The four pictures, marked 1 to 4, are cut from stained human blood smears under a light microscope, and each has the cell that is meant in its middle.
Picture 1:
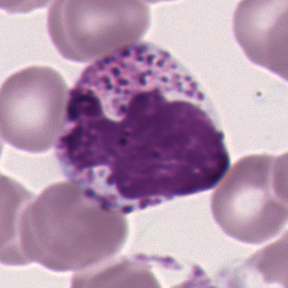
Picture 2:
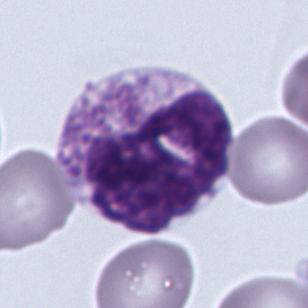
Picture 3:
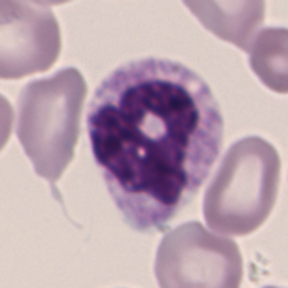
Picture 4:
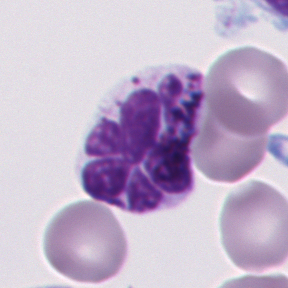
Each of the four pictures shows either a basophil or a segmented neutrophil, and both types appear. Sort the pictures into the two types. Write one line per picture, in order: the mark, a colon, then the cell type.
1: basophil
2: basophil
3: segmented neutrophil
4: basophil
